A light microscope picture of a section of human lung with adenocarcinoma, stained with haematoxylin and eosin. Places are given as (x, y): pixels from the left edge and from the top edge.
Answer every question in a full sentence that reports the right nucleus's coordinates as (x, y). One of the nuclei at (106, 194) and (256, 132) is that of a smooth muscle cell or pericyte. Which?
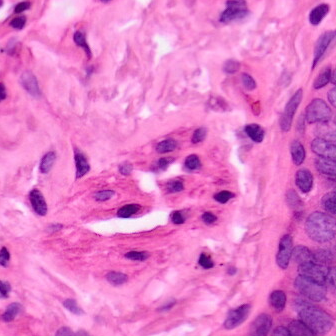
Lying within a smooth muscle cell or pericyte is the nucleus at (106, 194).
